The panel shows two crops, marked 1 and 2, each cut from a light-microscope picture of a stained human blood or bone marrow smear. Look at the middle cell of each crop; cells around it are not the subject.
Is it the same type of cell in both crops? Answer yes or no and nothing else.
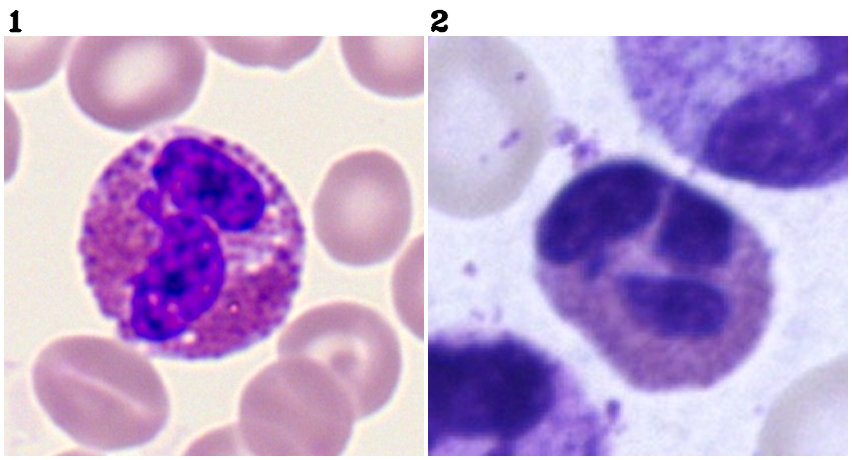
yes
